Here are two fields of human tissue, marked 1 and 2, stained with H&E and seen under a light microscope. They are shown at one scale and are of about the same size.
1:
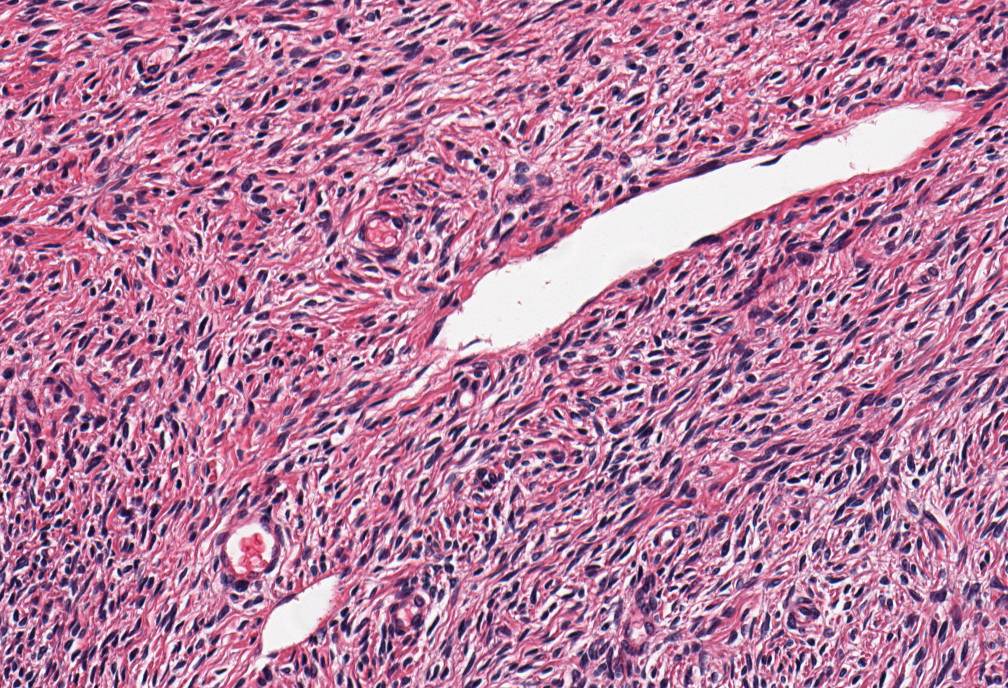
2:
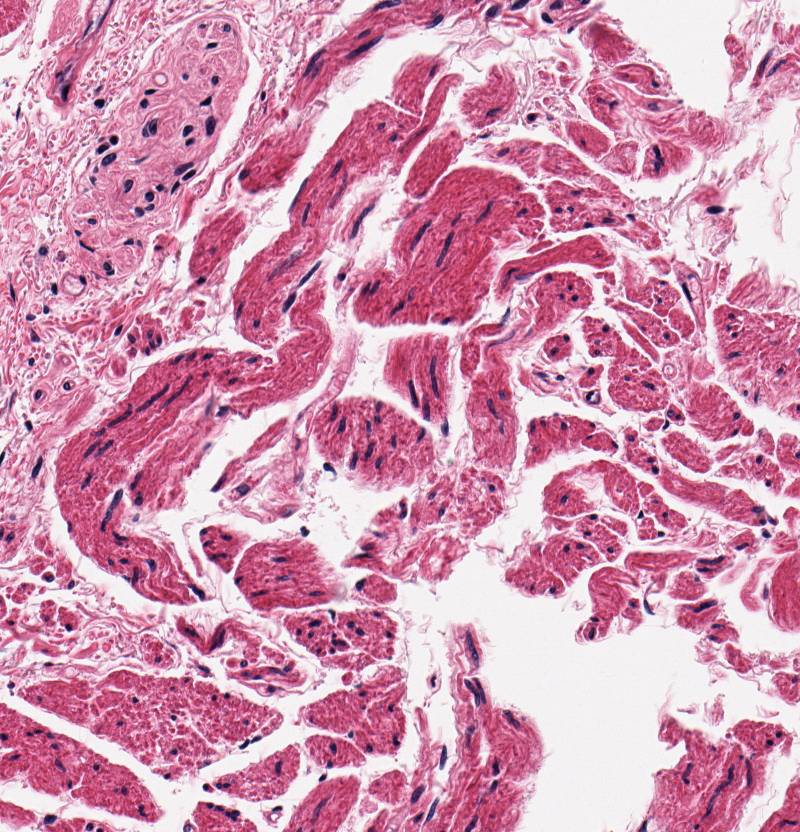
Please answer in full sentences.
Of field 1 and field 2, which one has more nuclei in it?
It is field 1 that has more nuclei in it.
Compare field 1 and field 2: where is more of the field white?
More of field 2 is empty and white.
